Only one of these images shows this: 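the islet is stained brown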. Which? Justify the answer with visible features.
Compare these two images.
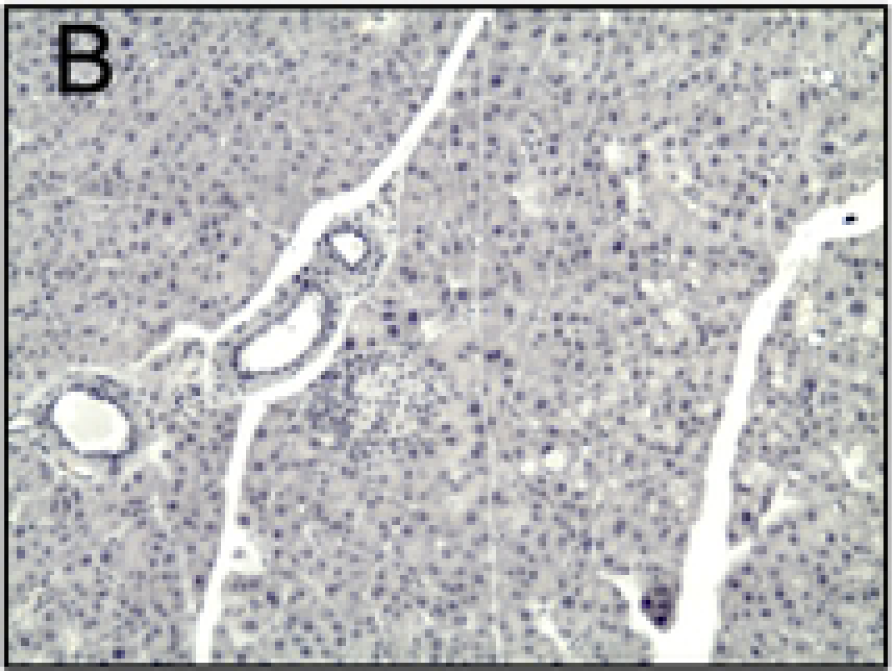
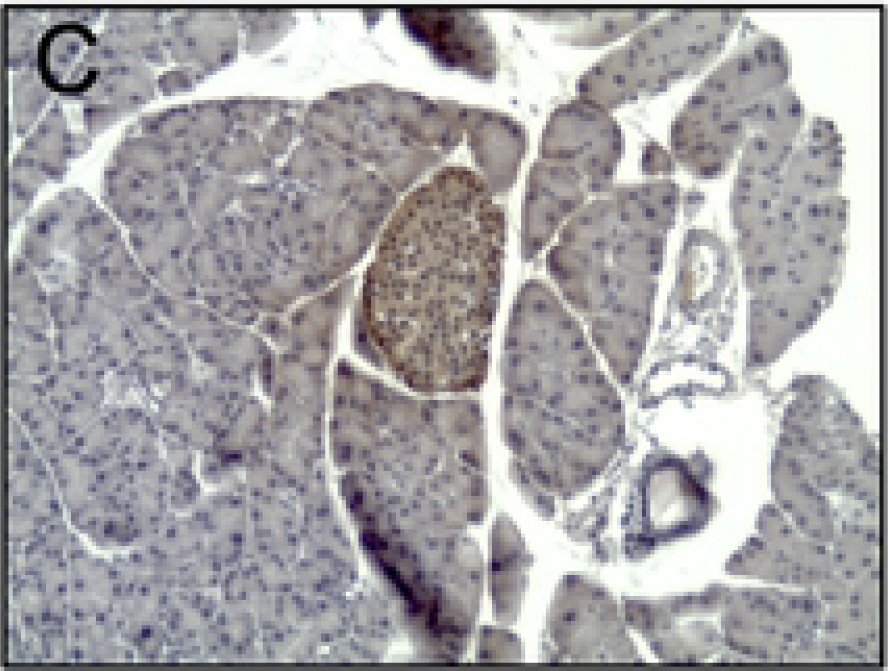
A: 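First image: a pale islet near the centre shows no brown colour. Second image: the central oval islet is clearly brown.
Answer: the second image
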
